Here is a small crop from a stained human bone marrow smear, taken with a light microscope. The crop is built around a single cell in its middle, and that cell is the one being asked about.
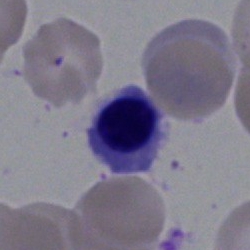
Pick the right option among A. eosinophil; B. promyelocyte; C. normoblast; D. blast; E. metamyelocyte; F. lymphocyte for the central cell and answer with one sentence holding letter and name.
Given that the cell in the middle is a normoblast, option C is correct.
